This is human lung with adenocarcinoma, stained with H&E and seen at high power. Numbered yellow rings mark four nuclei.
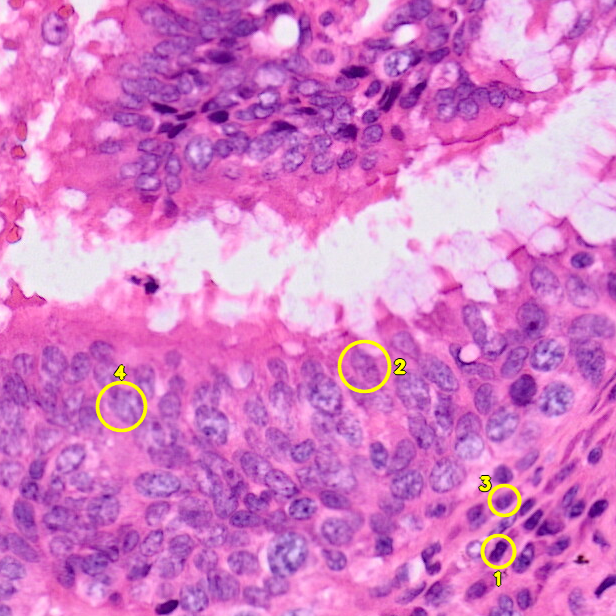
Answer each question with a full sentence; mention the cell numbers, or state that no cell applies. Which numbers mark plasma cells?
The cells referred to by numbers 1 and 3 are plasma cells.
